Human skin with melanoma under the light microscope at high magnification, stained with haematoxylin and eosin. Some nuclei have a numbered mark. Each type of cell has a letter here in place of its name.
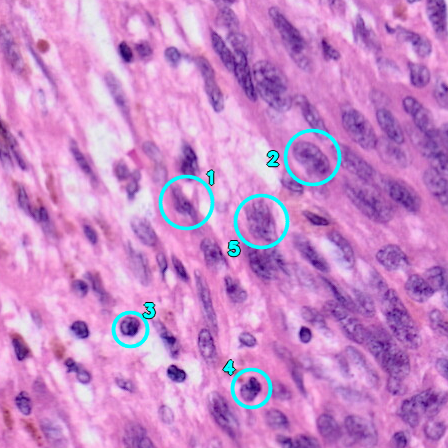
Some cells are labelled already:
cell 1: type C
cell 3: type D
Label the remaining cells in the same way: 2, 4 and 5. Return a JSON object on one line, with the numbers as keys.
{"2": "type C", "4": "type D", "5": "type C"}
